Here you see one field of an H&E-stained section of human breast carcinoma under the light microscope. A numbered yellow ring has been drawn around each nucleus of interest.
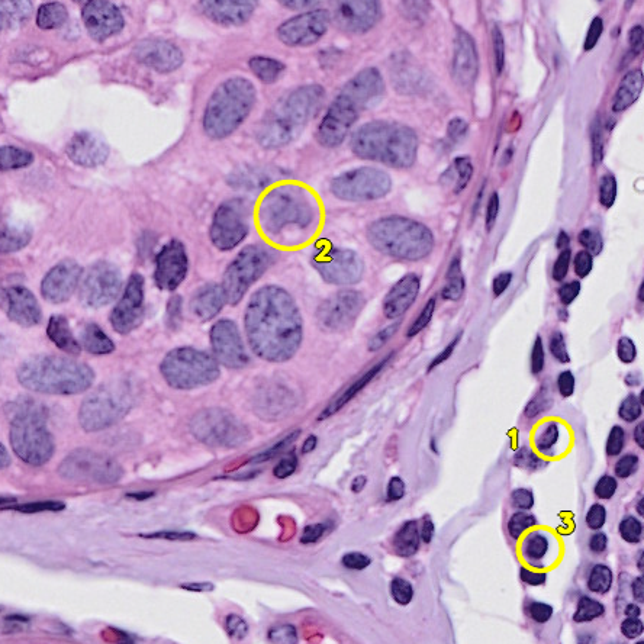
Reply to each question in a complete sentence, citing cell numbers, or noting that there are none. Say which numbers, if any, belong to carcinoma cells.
Of the cells carrying numbers, just cell 2 is a carcinoma cell.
